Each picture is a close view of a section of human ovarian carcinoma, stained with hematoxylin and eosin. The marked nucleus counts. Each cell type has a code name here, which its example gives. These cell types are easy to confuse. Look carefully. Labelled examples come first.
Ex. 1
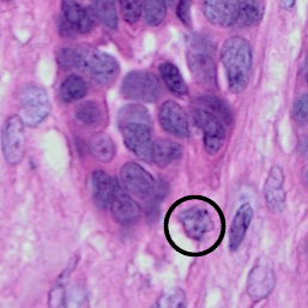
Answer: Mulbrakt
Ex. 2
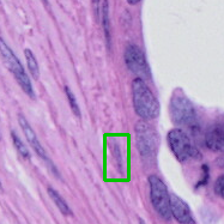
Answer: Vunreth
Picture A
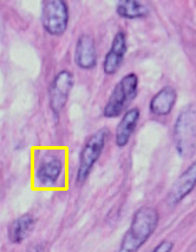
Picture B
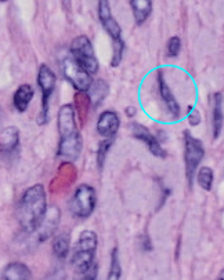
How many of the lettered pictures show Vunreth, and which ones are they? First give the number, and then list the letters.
Count: 2 (A, B)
